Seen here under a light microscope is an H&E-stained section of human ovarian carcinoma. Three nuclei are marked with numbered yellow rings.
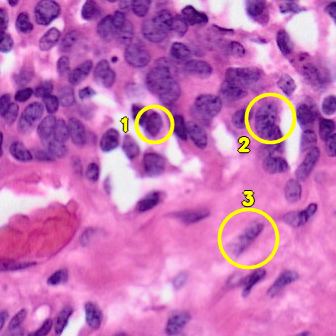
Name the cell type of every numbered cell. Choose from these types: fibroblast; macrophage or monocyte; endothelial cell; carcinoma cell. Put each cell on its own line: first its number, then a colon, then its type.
1: carcinoma cell
2: carcinoma cell
3: fibroblast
